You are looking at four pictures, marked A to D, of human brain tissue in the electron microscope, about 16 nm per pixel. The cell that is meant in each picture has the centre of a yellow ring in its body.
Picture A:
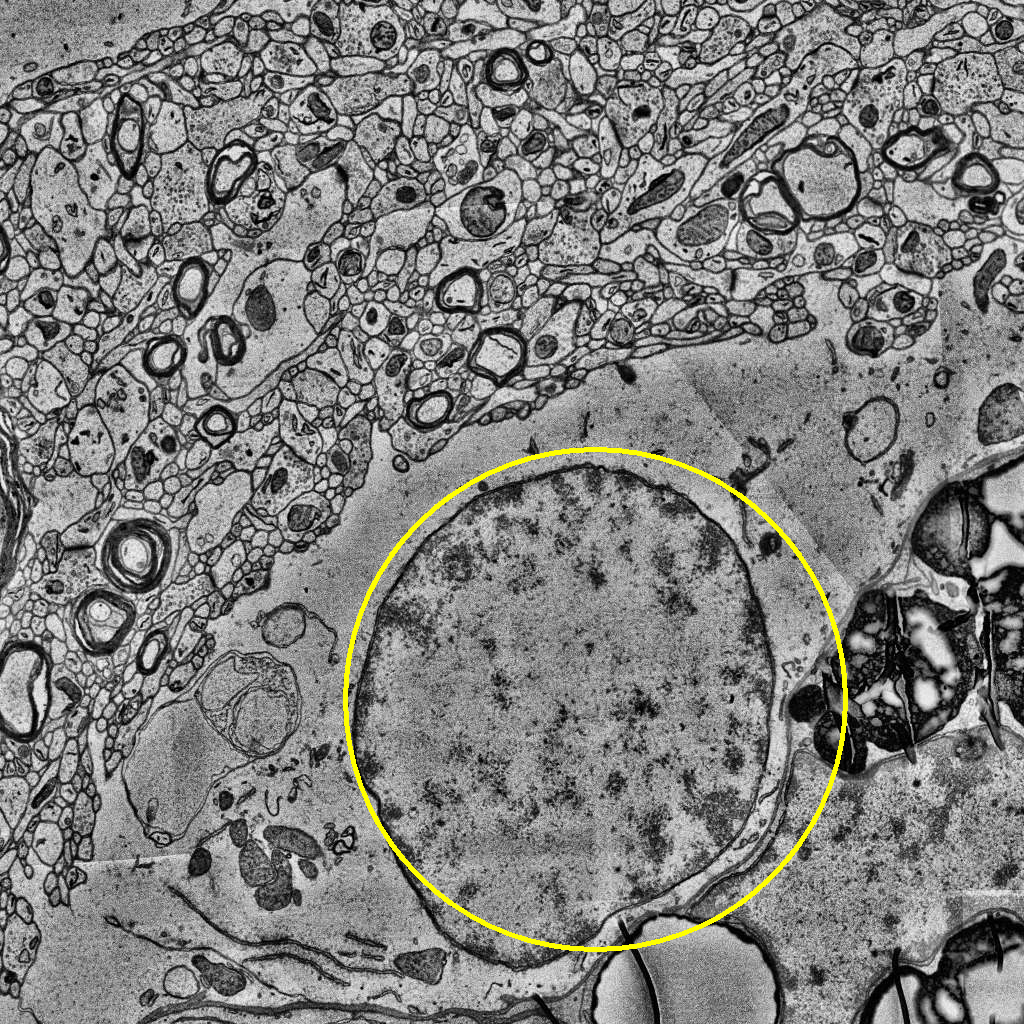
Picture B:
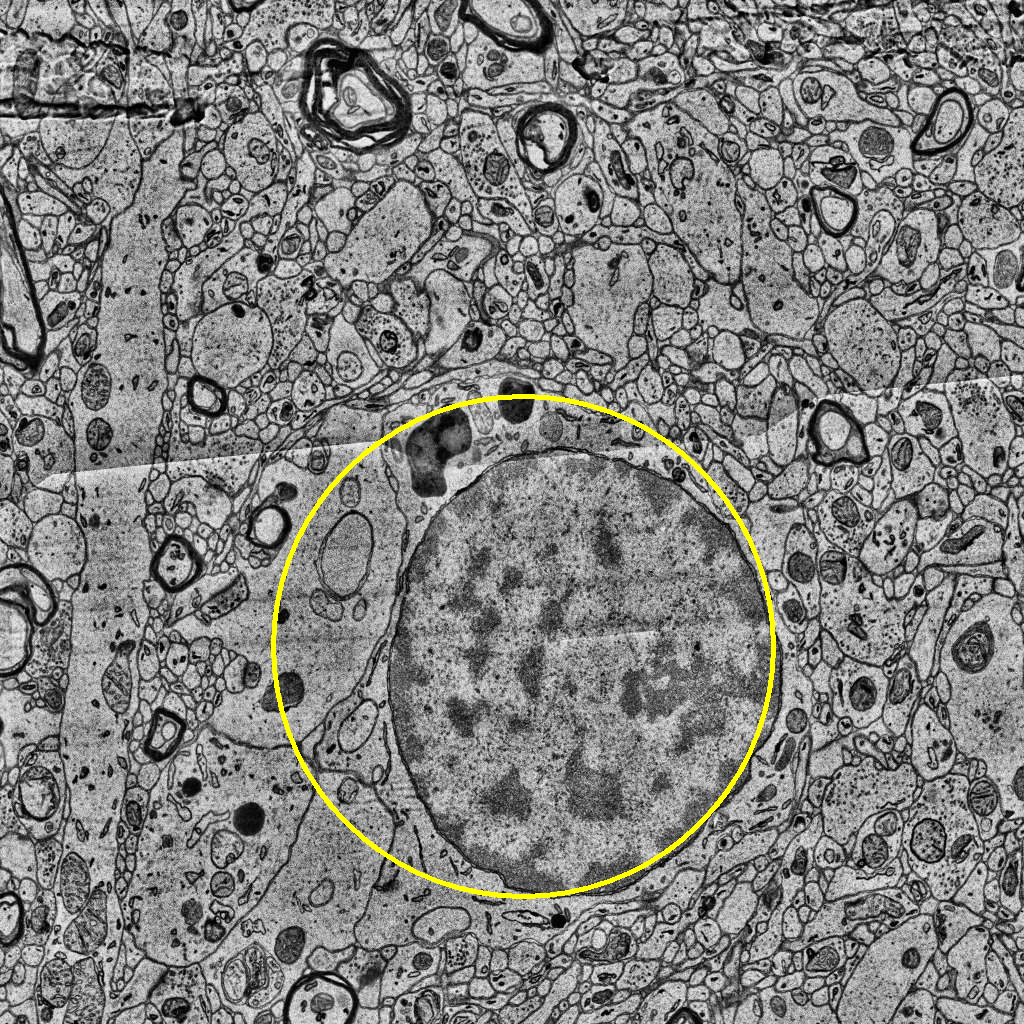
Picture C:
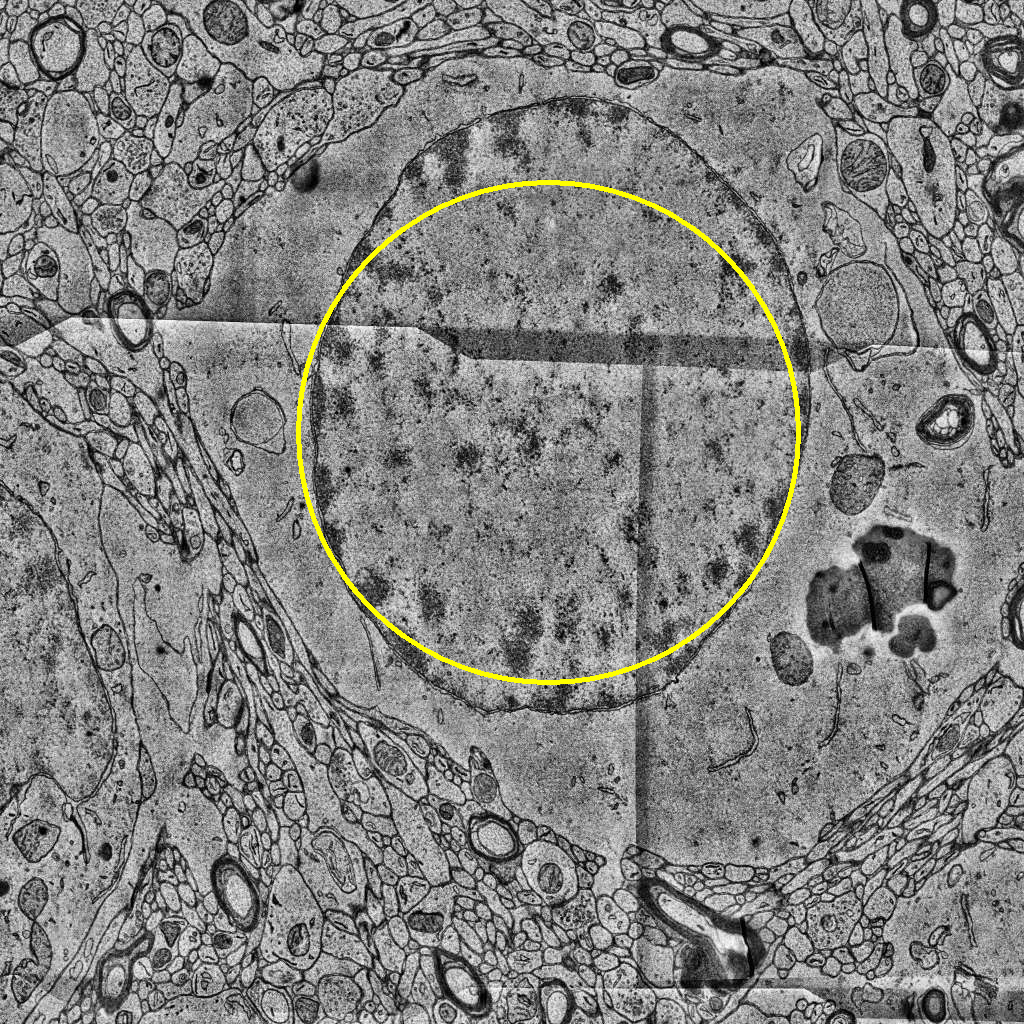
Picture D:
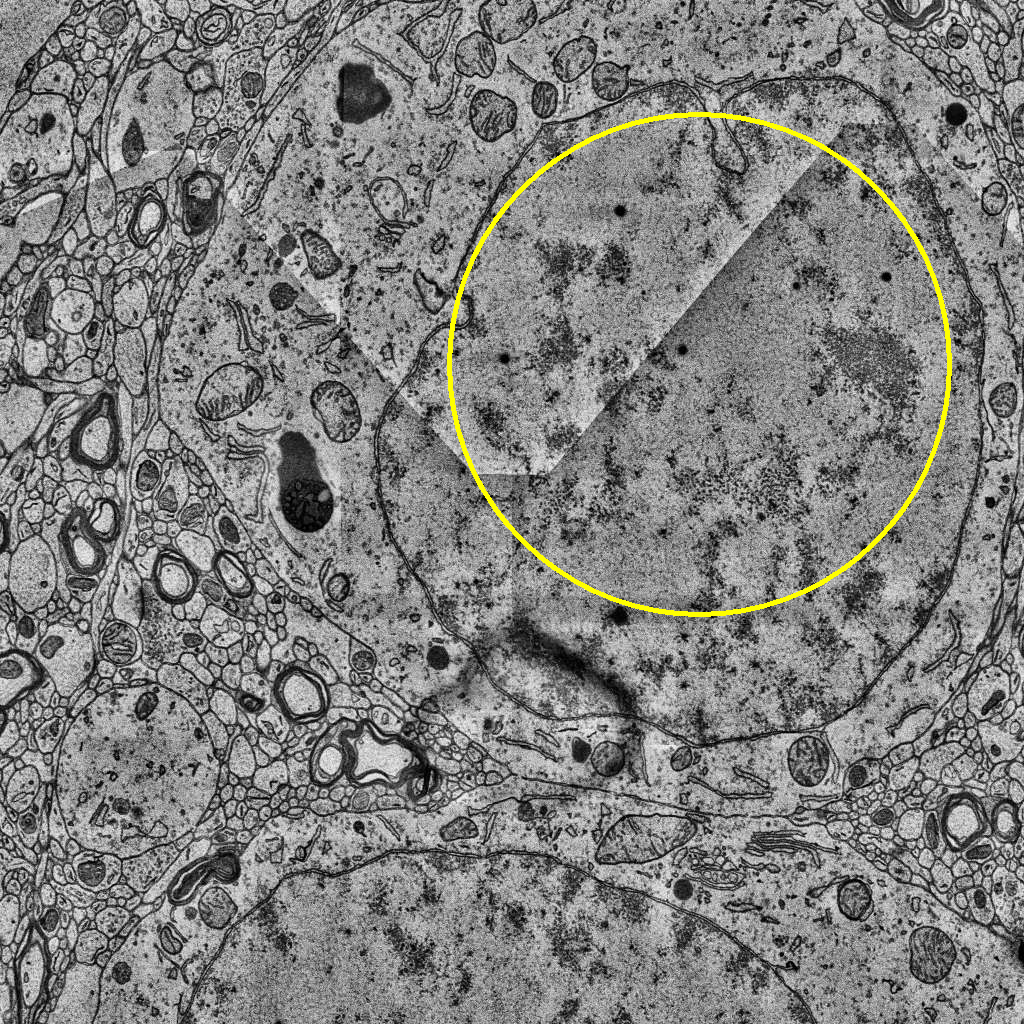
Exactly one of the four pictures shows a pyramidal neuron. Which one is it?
The picture with the pyramidal neuron is D.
